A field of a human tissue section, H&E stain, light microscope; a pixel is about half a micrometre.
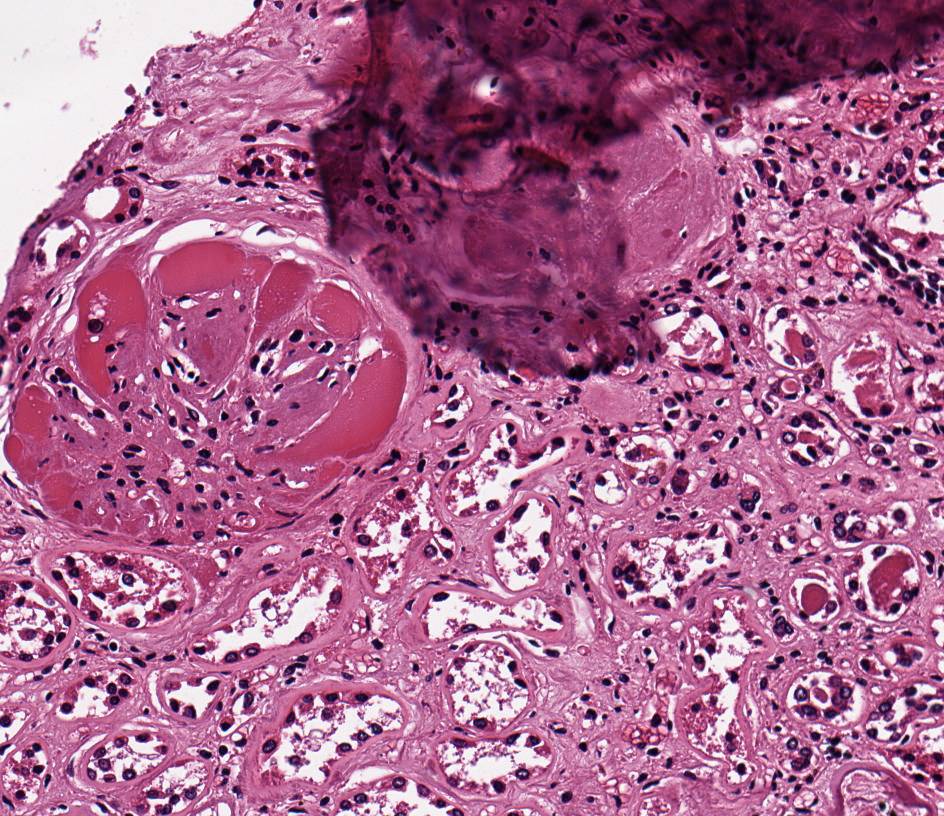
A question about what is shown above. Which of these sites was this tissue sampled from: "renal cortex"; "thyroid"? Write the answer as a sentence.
The site this tissue was sampled from is the renal cortex.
